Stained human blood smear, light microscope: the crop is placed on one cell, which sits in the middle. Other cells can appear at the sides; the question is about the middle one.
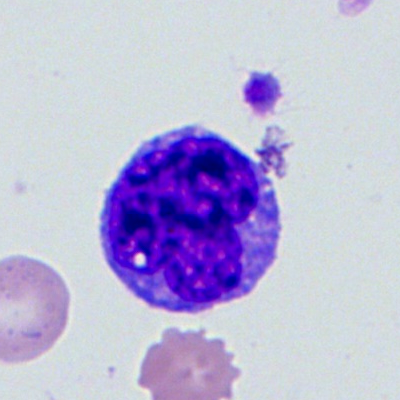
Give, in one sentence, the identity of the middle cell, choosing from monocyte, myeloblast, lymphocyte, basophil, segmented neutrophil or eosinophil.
Whatever else lies nearby, the middle cell is a monocyte.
